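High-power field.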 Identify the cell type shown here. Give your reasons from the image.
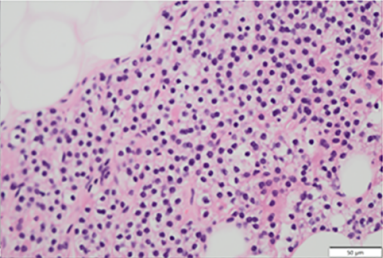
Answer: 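Chief cells. Sheets of small cells with round, dark, centrally placed nuclei. Most cells have pale to clear cytoplasm. Fat vacuoles lie at the edge of the cell sheet.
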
